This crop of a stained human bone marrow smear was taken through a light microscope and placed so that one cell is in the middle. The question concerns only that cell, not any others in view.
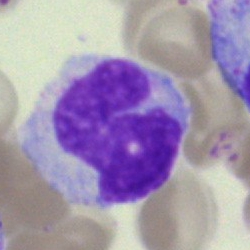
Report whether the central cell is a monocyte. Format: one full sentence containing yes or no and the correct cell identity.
Yes, the cell centred in this crop is a monocyte.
